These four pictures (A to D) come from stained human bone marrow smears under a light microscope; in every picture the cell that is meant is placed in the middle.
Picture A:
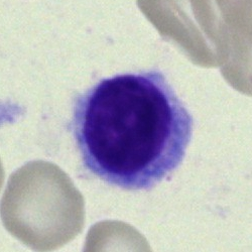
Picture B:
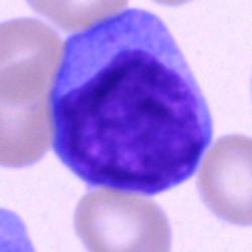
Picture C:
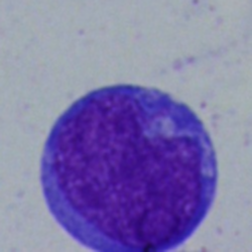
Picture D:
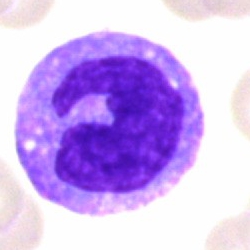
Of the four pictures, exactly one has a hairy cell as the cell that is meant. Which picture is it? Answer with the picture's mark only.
A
